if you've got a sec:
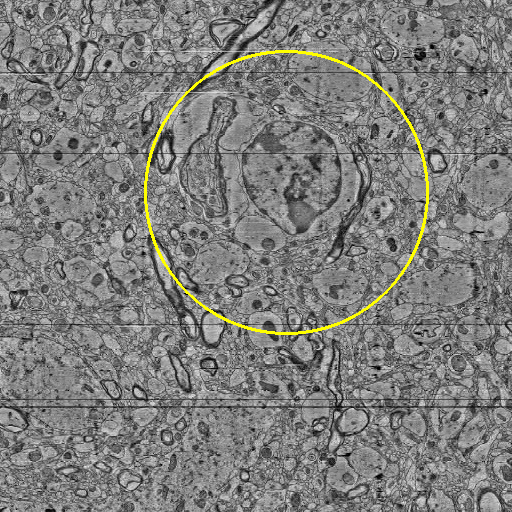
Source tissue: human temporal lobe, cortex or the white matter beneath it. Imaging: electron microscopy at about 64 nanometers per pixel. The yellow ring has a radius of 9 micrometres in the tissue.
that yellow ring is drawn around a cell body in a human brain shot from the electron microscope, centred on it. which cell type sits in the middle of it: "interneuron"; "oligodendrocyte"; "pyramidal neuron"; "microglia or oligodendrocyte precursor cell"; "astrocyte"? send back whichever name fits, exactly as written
microglia or oligodendrocyte precursor cell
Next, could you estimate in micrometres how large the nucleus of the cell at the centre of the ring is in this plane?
In this plane the nucleus measures roughly 7 by 6 micrometers.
